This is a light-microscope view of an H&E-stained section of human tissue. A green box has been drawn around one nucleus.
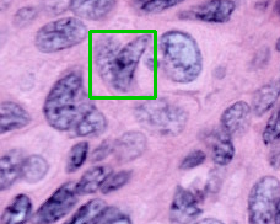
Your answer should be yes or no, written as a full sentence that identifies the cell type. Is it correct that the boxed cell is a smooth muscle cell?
No, that's not it; the boxed cell is a squamous carcinoma cell rather than a smooth muscle cell.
